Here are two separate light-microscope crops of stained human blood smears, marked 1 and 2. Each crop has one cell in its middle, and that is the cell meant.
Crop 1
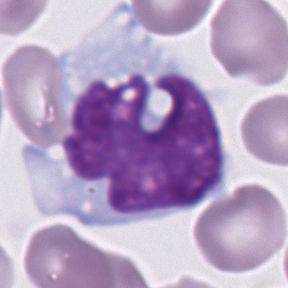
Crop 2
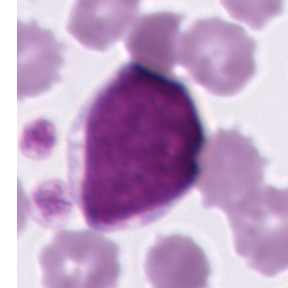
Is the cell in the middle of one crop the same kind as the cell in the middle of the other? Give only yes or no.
yes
